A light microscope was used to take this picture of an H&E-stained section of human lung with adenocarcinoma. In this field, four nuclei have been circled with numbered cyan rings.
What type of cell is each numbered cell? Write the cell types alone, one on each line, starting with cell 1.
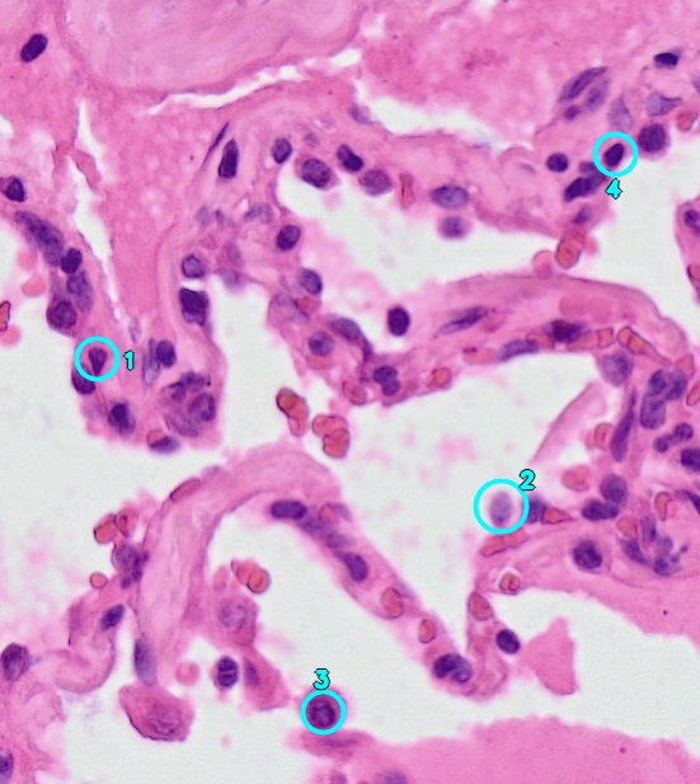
lymphocyte
type I pneumocyte
macrophage or monocyte
lymphocyte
